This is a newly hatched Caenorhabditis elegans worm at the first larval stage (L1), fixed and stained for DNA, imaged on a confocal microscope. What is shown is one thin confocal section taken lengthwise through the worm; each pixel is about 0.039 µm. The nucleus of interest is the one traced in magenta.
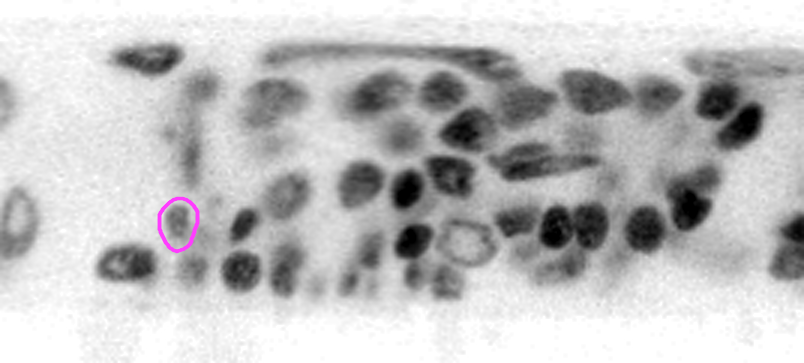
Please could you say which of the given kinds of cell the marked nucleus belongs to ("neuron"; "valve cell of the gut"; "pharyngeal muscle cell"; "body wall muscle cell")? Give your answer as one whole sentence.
What is marked is the nucleus of a valve cell of the gut.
